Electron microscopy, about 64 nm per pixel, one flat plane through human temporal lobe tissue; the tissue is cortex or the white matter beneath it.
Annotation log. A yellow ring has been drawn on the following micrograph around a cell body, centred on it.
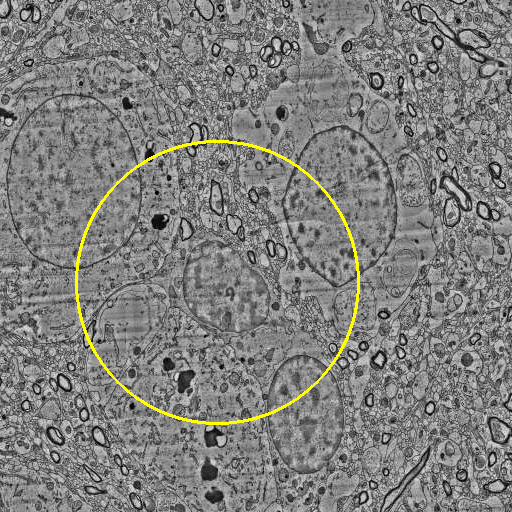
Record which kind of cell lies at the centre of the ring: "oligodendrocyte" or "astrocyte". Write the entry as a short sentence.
The cell the ring is centred on is an oligodendrocyte.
